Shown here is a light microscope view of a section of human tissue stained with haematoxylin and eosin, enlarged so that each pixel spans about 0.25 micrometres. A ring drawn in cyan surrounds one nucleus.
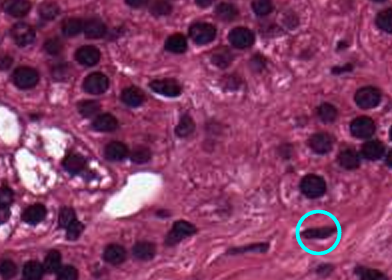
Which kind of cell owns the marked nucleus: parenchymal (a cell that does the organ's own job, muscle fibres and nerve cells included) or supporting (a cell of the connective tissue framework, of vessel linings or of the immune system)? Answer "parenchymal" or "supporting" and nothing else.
supporting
